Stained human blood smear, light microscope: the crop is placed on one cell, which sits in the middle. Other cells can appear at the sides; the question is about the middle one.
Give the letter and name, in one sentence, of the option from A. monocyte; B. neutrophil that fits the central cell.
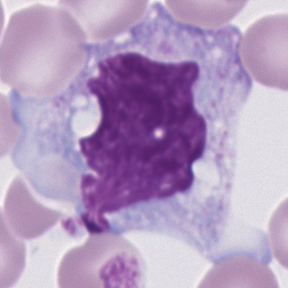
The cell centred in the crop is a monocyte, and the correct option is thus A.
